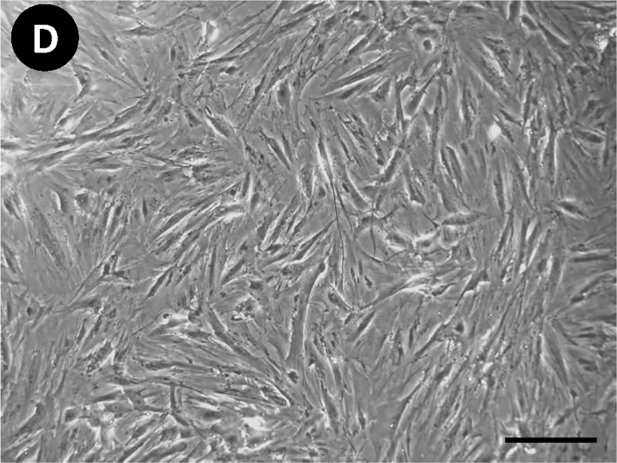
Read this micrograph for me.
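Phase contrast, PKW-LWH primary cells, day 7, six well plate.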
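The elongated cells pack closely side by side and run in interlacing bundles that swirl in different directions across the field. Hardly any empty substrate remains between them, and only a few rounded bright cells stand among the flat ones.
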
